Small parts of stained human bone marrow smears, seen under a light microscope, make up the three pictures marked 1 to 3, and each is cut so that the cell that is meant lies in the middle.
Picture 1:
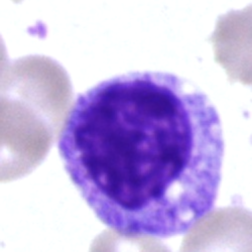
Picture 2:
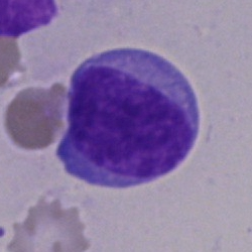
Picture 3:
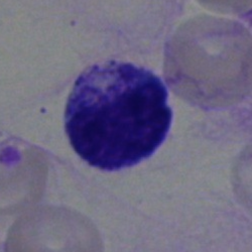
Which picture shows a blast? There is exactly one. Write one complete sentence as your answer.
Picture 2 shows the blast.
